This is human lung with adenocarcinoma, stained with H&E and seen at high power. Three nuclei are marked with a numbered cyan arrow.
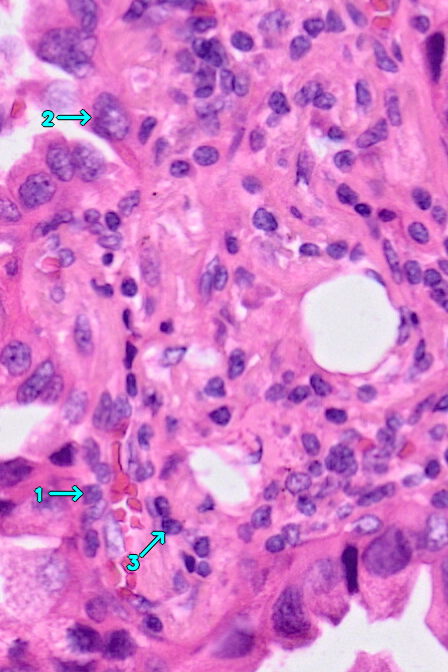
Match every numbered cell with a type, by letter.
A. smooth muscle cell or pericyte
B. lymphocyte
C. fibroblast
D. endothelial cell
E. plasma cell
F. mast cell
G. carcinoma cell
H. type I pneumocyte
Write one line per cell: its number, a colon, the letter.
1: B
2: G
3: B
